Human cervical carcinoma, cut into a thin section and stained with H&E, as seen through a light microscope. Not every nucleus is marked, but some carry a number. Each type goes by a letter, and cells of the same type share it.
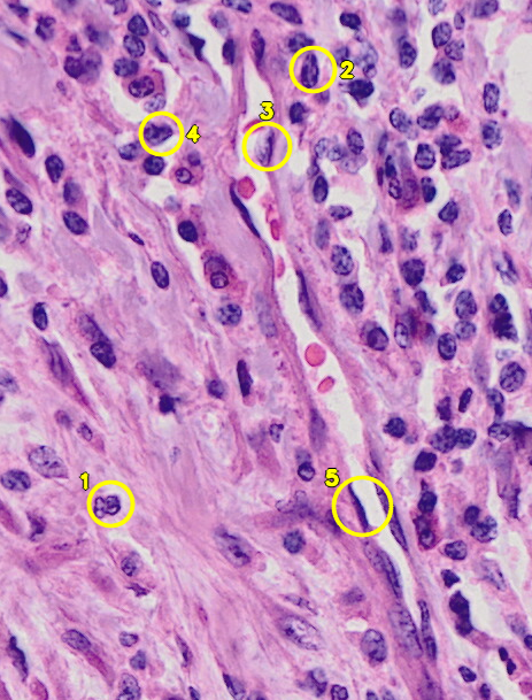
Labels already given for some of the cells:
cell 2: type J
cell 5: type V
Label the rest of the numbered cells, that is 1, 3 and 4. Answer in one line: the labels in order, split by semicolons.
type J; type V; type J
